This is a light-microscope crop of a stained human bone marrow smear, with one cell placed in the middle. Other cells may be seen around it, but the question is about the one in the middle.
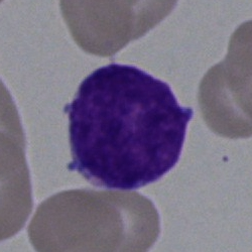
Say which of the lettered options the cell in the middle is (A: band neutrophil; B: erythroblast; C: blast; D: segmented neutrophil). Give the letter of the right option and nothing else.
C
